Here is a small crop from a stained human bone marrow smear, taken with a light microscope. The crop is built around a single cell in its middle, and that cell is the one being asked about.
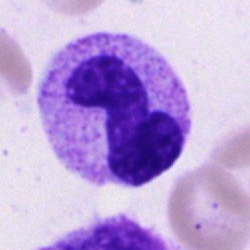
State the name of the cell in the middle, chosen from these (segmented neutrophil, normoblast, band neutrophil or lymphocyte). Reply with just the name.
band neutrophil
